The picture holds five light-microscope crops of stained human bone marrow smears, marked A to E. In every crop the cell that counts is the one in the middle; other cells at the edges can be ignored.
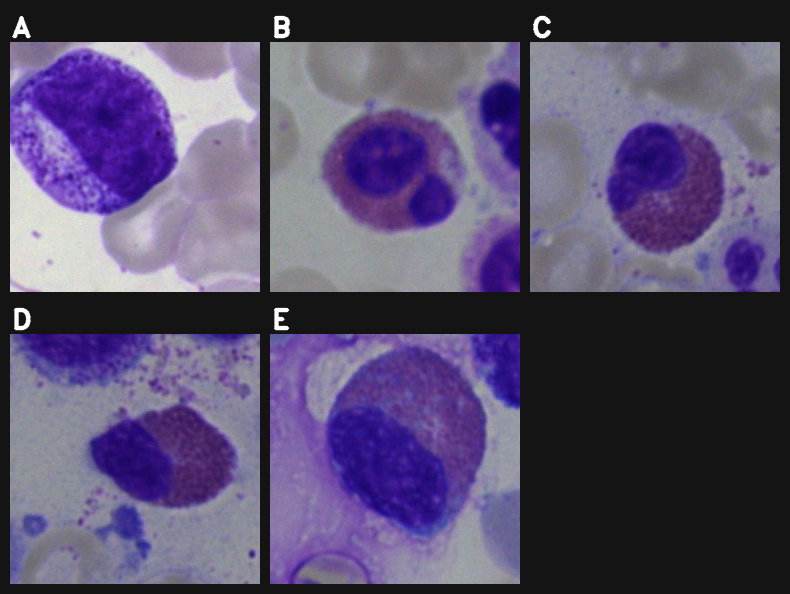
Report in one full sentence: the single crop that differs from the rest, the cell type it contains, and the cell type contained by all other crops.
Identified in crop A is a myelocyte, whereas the other crops all show eosinophils.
